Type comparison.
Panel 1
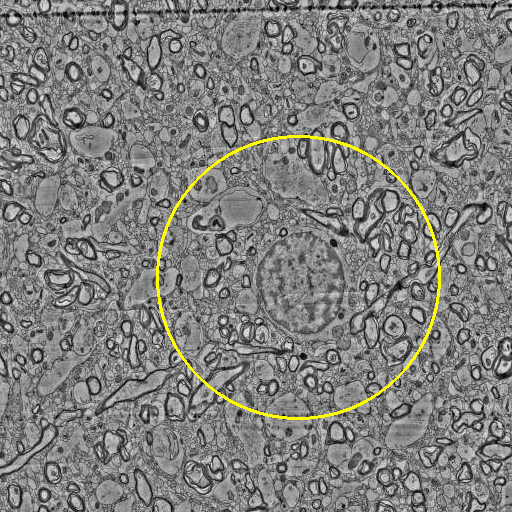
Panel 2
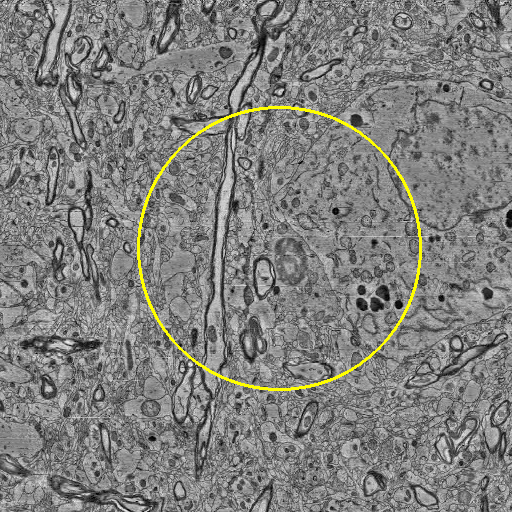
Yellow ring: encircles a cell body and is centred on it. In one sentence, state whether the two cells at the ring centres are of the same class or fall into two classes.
In these panels, the two cells at the ring centres are of the same class.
